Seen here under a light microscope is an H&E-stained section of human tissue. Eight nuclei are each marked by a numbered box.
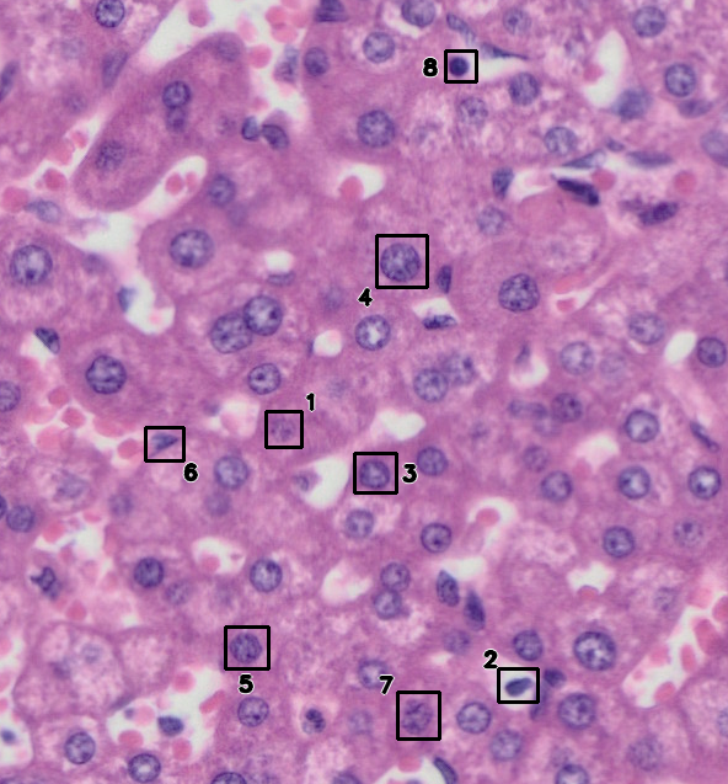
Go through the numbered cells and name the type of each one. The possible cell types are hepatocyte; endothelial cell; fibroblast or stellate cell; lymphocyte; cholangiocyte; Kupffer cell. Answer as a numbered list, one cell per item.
1. hepatocyte
2. lymphocyte
3. hepatocyte
4. hepatocyte
5. hepatocyte
6. fibroblast or stellate cell
7. hepatocyte
8. lymphocyte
